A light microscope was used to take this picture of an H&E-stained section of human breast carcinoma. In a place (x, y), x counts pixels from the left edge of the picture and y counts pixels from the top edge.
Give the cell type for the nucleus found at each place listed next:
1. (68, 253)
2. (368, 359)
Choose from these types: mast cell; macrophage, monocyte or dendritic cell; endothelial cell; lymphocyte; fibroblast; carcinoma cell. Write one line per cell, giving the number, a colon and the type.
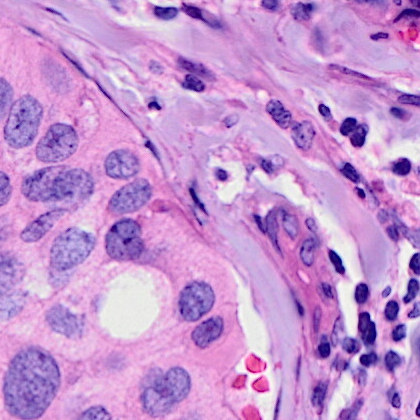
1: carcinoma cell
2: lymphocyte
